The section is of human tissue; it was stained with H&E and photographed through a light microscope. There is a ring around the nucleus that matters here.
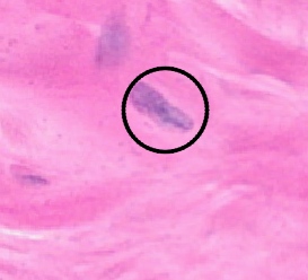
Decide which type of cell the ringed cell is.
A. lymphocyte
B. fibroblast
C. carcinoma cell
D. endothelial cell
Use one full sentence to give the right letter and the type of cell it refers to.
In keeping with option B, the ringed cell is a fibroblast.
